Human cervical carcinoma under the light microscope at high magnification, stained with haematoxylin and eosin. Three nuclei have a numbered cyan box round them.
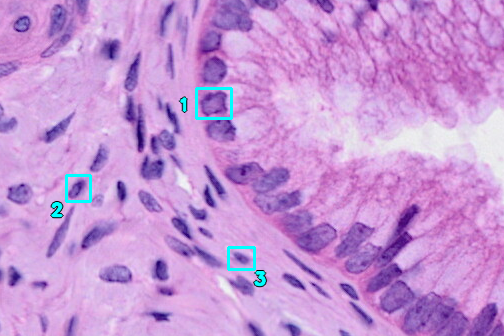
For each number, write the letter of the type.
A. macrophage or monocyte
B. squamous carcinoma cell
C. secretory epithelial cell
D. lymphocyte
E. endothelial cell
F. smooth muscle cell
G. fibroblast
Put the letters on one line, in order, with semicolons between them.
C; G; G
